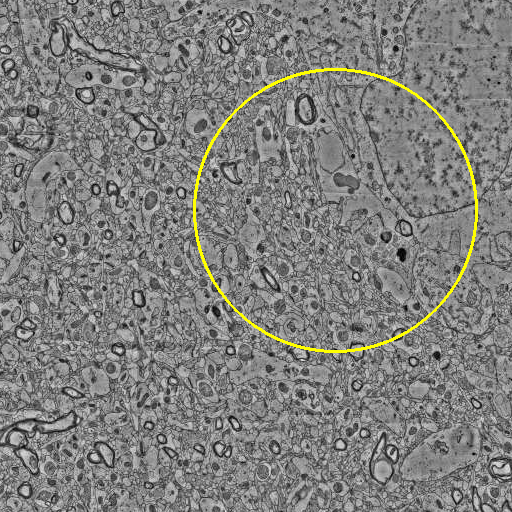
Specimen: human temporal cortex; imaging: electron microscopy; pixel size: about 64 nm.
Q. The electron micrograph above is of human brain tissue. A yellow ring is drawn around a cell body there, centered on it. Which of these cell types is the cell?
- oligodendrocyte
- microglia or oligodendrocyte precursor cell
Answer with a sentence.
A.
The cell under the ring's center is a microglial cell or oligodendrocyte precursor cell.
